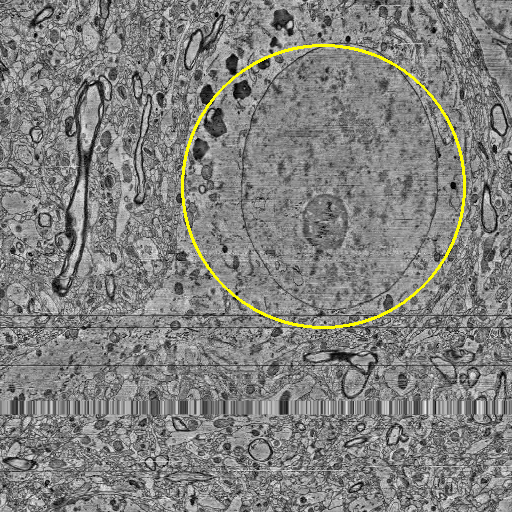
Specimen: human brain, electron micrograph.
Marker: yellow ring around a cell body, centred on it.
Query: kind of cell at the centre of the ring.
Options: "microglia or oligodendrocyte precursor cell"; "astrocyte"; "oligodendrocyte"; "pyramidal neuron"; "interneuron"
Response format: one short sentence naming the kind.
This cell body belongs to a pyramidal neuron.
